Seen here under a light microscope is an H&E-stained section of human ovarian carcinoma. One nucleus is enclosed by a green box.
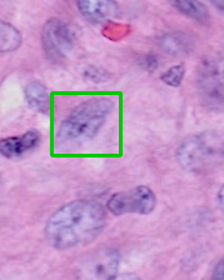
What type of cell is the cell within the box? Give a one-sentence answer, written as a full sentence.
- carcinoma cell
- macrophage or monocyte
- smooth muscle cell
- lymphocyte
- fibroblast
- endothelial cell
Just put down that the cell within the box is a fibroblast.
